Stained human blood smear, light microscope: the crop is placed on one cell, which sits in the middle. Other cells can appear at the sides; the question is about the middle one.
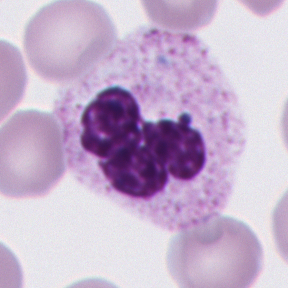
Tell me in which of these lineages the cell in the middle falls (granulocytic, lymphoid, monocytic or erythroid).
granulocytic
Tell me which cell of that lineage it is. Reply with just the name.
segmented neutrophil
